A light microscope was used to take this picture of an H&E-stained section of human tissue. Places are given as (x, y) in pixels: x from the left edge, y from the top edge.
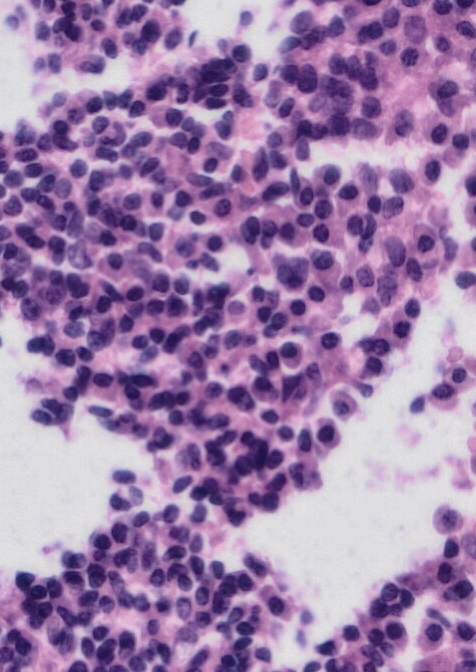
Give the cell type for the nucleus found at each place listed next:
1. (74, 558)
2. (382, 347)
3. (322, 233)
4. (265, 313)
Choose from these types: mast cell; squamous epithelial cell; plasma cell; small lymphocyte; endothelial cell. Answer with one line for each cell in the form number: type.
1: small lymphocyte
2: plasma cell
3: plasma cell
4: plasma cell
